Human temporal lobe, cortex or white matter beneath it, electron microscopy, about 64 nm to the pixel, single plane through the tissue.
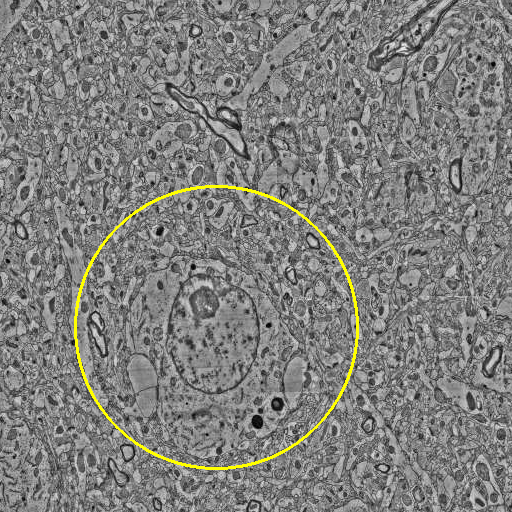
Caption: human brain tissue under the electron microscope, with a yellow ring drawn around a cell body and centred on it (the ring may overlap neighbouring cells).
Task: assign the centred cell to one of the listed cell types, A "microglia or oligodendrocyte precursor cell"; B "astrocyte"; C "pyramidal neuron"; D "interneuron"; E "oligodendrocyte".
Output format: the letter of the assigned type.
C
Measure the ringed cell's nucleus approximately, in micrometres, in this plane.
In this plane, the nucleus is roughly 8 by 6 micrometres.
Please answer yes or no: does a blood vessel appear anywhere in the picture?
No.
